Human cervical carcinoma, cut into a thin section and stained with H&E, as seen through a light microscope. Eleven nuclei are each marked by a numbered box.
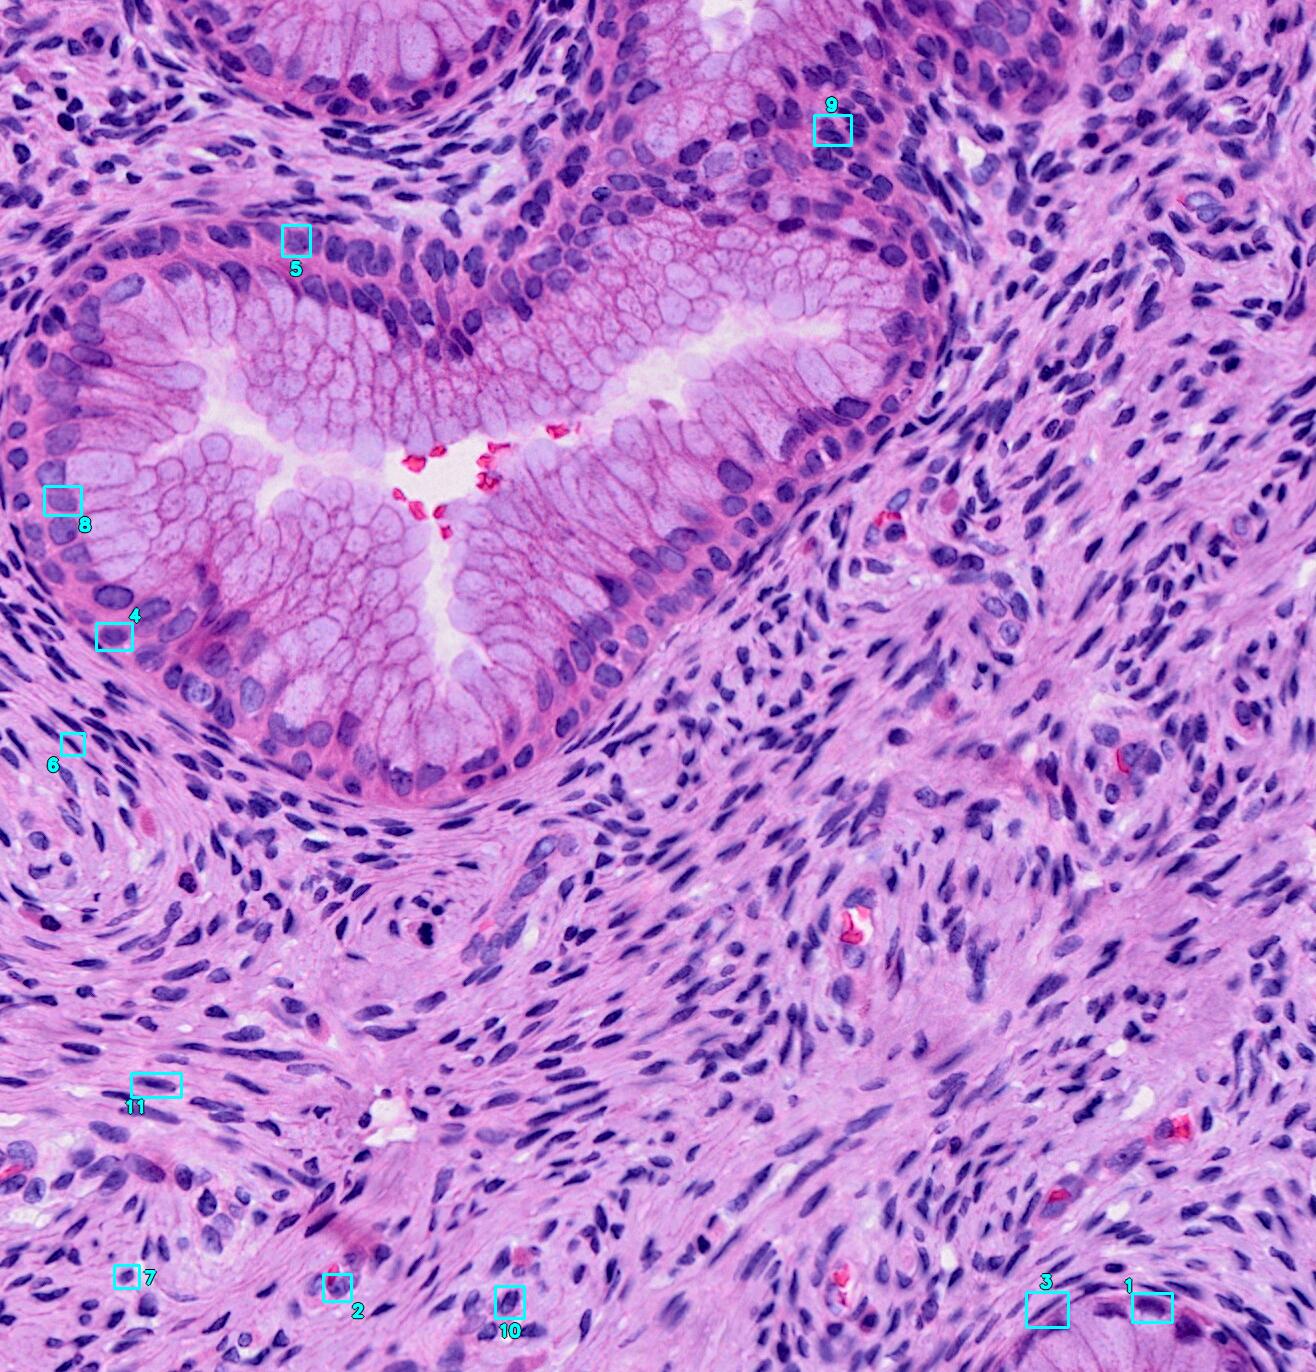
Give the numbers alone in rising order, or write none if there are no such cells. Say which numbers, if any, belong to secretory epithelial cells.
1, 4, 5, 8, 9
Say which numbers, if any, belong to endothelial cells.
2, 10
